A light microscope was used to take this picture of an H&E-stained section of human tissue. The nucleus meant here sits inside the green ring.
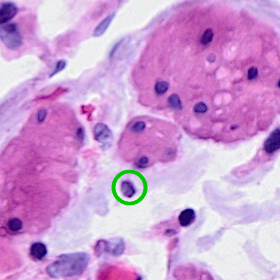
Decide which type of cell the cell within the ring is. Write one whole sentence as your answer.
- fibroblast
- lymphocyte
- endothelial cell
The cell within the ring is a lymphocyte.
